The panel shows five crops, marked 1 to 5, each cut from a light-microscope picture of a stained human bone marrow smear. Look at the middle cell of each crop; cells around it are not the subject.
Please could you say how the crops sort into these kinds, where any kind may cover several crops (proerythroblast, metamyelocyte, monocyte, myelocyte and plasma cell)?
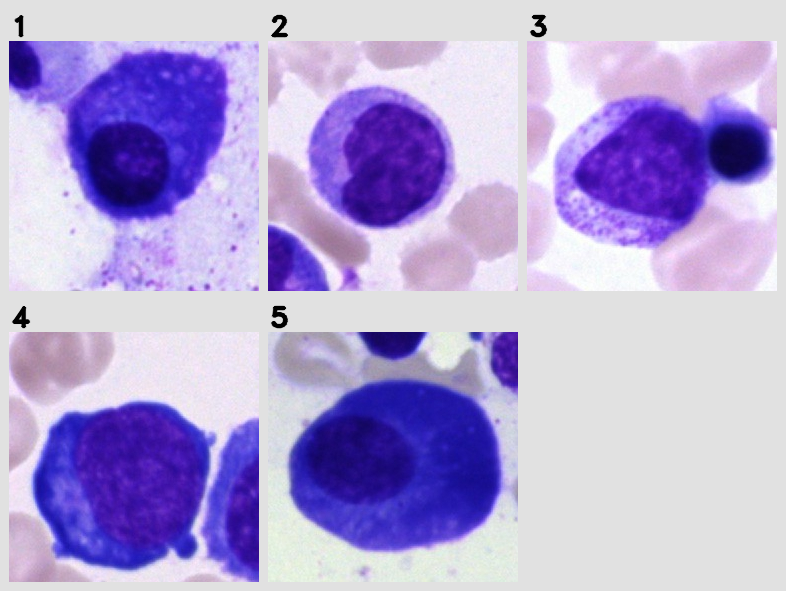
1: plasma cell
2: monocyte
3: myelocyte
4: proerythroblast
5: plasma cell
